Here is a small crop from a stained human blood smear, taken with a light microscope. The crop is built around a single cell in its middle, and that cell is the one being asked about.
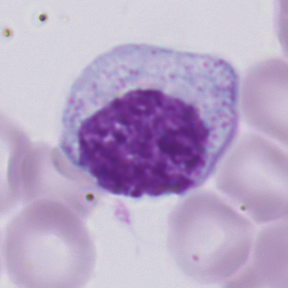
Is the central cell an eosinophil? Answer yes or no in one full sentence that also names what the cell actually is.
No, the central cell should be identified as a myelocyte, not as an eosinophil.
